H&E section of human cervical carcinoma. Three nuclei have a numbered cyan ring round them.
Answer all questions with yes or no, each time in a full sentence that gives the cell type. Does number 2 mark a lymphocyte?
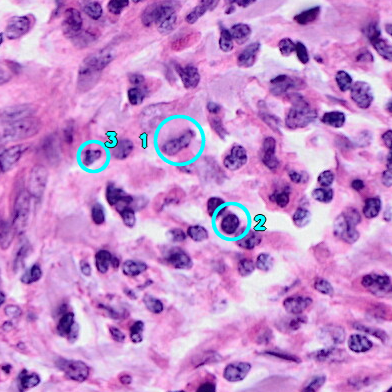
Yes, the cell whose nucleus carries number 2 is a lymphocyte.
